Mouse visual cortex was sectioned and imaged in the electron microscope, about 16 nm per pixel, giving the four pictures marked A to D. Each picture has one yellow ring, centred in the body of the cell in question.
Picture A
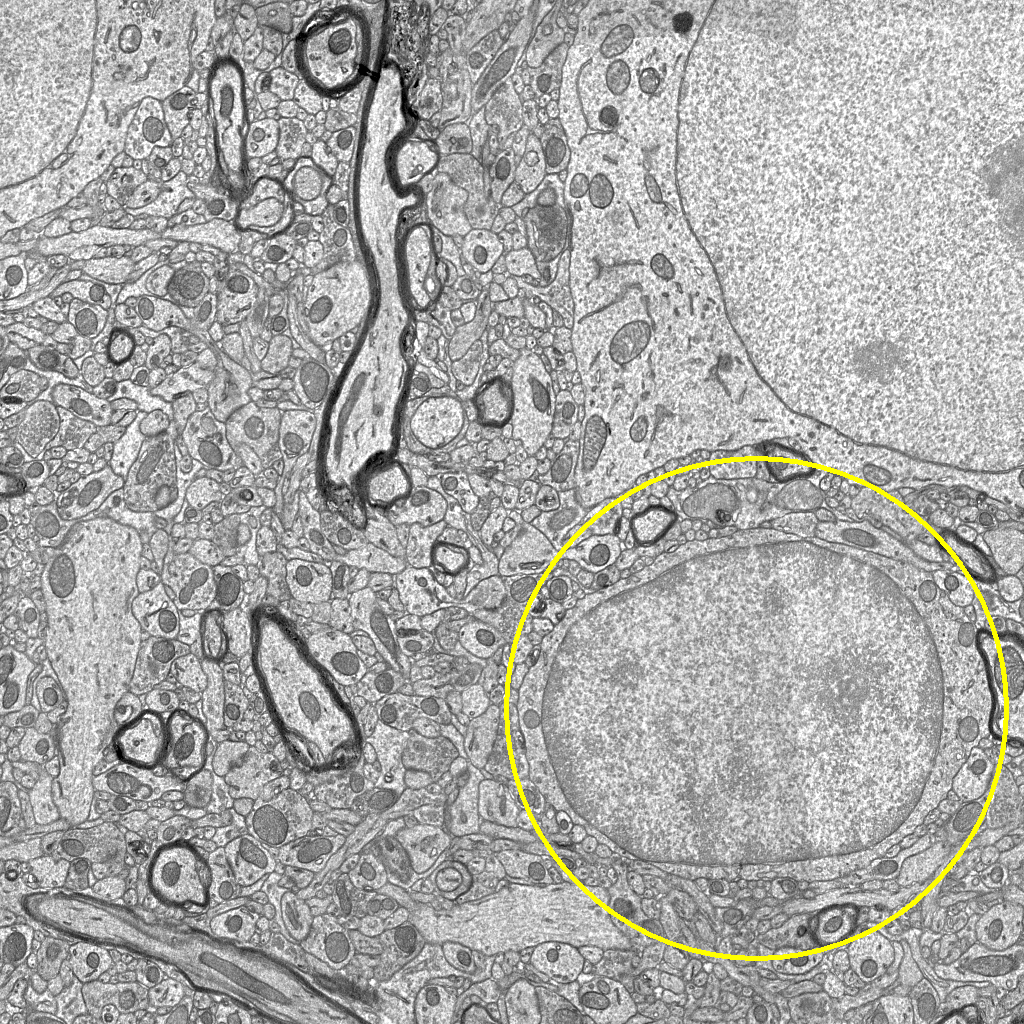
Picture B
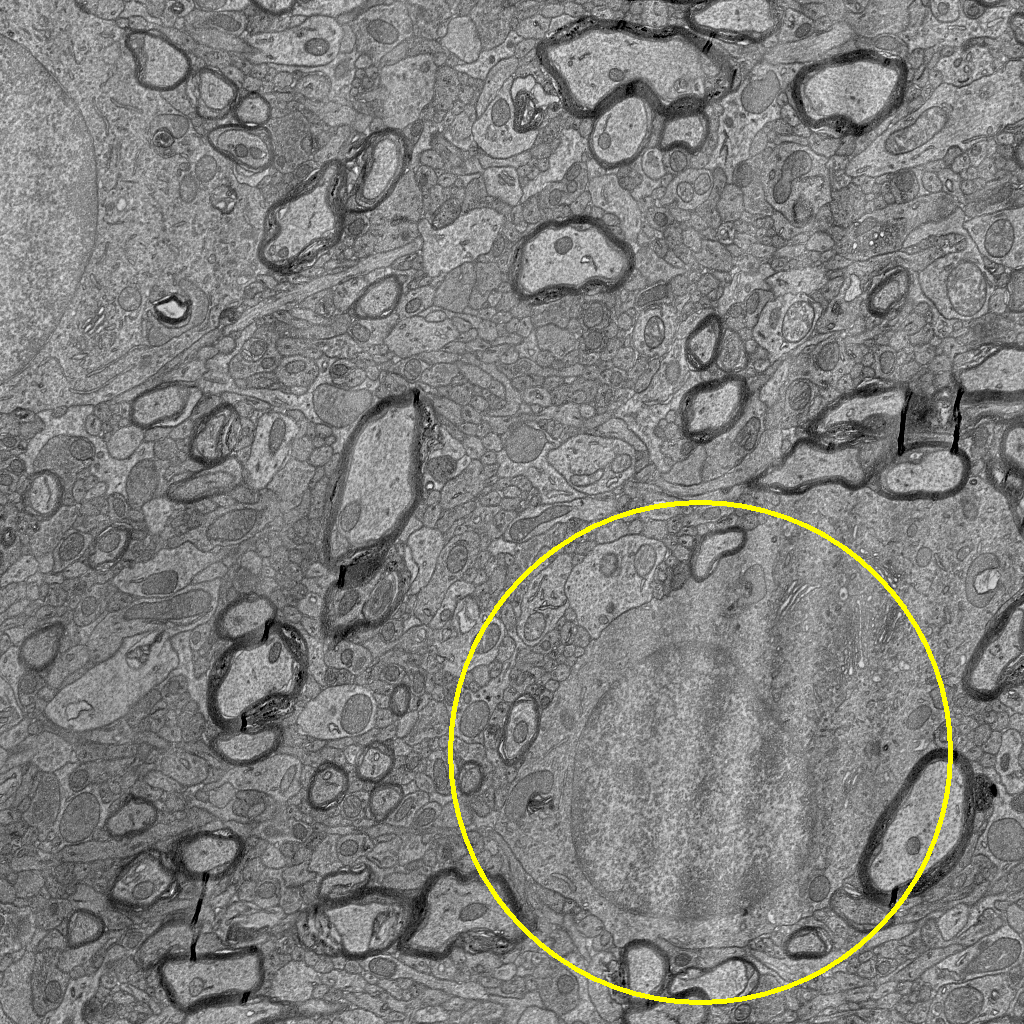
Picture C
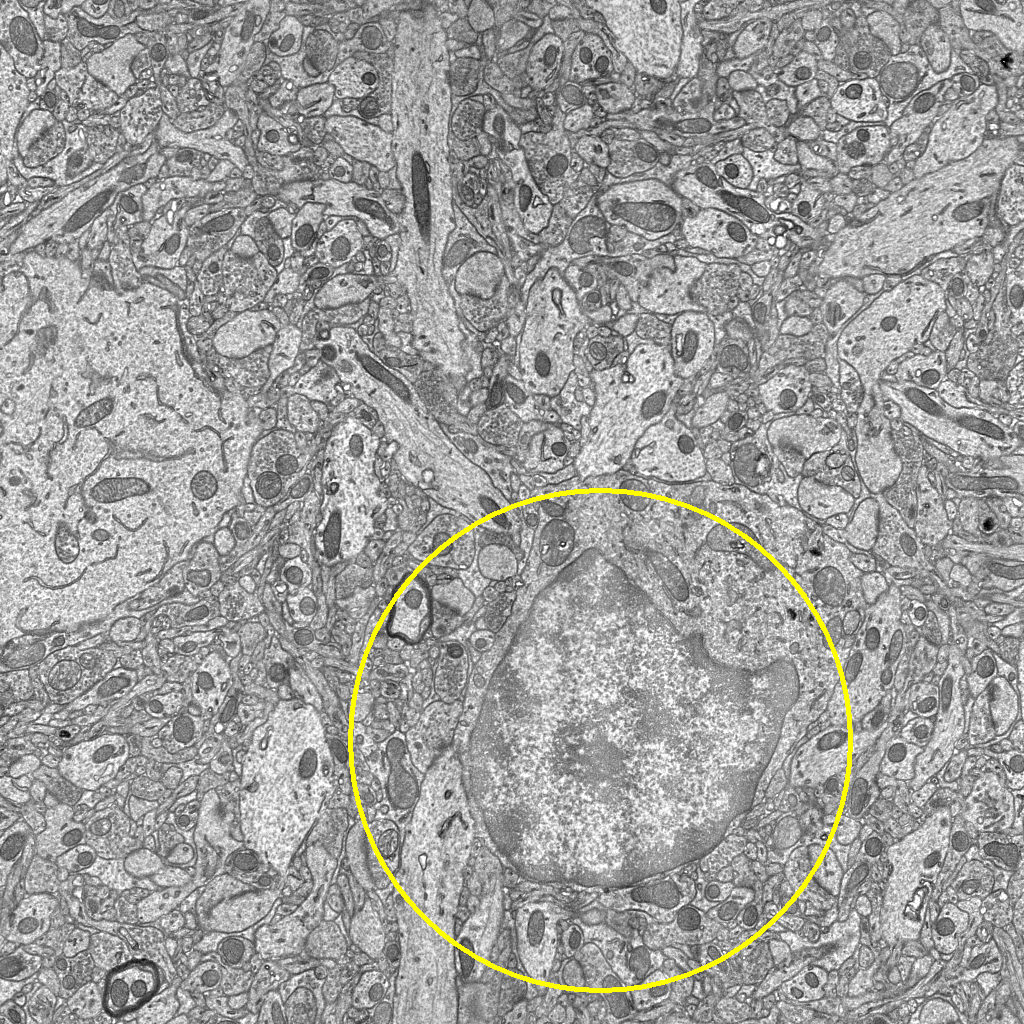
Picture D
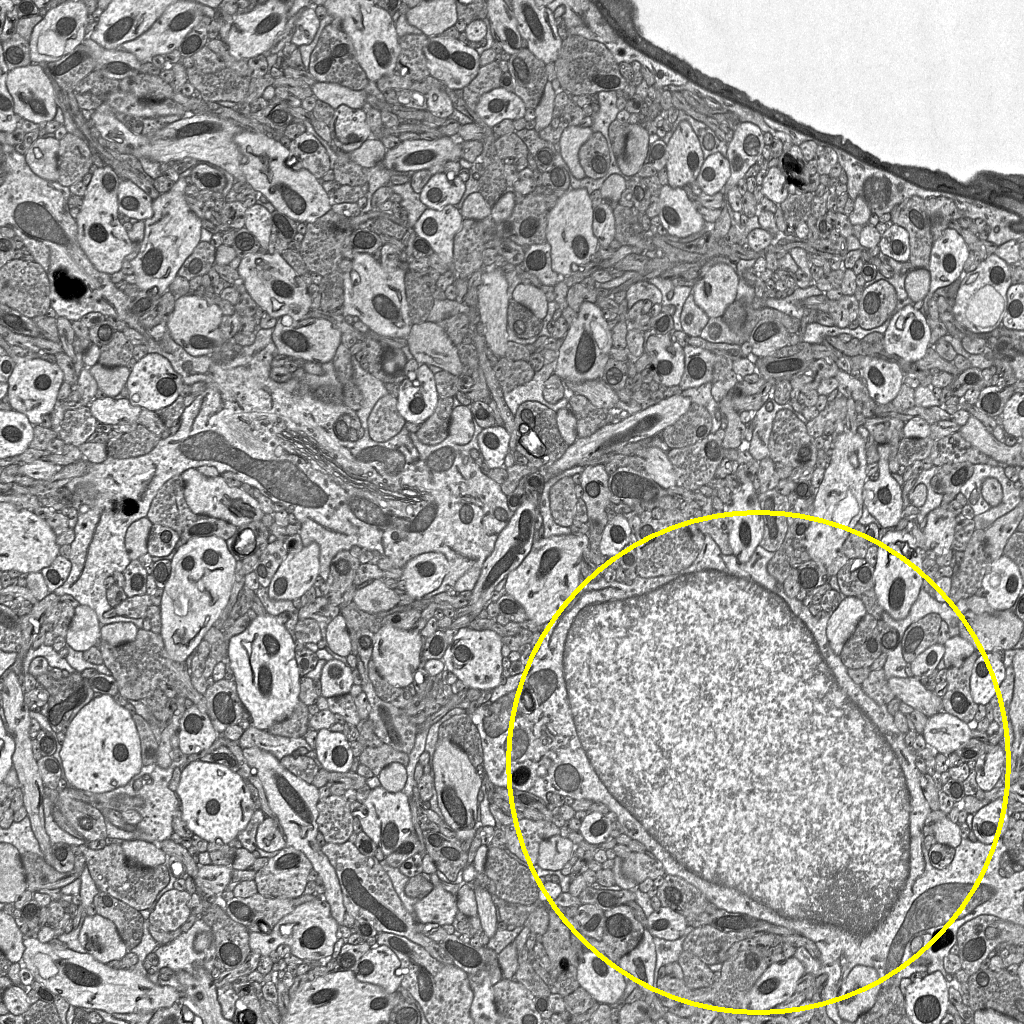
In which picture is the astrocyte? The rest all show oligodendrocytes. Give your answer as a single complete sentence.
The astrocyte is the one in picture D.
